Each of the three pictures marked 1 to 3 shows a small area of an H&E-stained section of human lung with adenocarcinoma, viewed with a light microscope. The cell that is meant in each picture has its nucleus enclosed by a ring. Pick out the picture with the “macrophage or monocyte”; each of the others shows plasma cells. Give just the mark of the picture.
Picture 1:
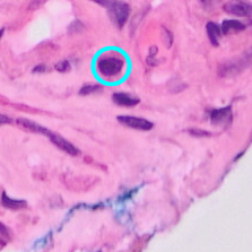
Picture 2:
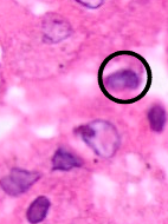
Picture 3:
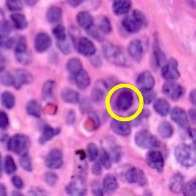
2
